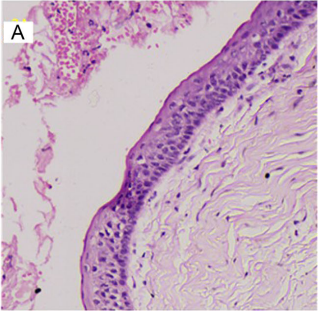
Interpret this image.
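This is the lining of a keratocyst: a thin, even band of stratified squamous epithelium only a few cells thick sits on a flat interface with the underlying wall, without rete ridges. The basal cells form a row of closely packed cells with dark purple nuclei, and the surface carries a thin, pink layer. Beneath the epithelium the wall consists of pale pink, wavy, sparsely cellular collagen. Red blood cells lie in loose material at the upper left, outside the lining.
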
